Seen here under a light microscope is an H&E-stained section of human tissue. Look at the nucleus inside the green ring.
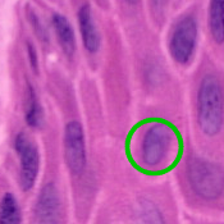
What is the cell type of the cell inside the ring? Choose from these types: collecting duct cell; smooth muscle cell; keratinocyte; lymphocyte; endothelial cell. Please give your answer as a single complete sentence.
As classified here, the cell inside the ring is a keratinocyte.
